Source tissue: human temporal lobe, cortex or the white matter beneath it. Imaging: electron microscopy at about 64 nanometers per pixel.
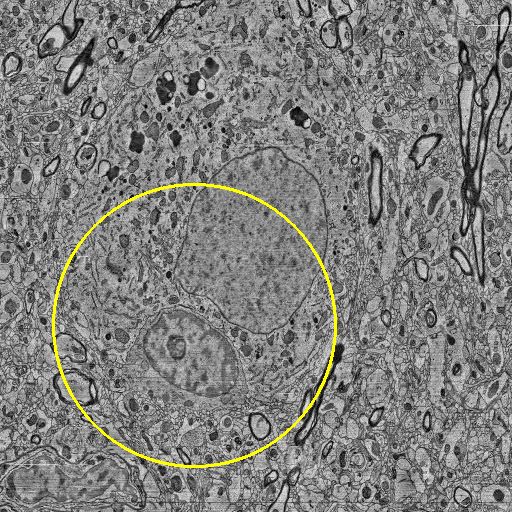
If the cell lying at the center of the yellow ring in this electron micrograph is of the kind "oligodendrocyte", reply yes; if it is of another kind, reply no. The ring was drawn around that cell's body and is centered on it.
yes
